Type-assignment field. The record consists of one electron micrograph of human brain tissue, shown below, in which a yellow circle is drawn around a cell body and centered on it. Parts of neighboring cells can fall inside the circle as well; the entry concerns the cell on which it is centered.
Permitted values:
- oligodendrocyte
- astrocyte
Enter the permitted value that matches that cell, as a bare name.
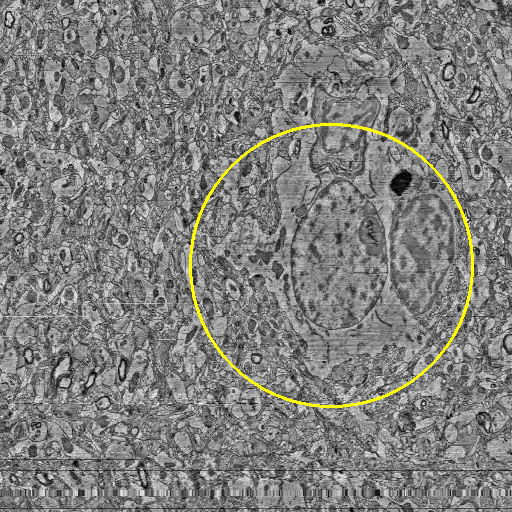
astrocyte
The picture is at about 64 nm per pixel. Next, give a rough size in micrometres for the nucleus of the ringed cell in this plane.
Approximately 10 micrometres long and 6 micrometres wide, in this plane.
